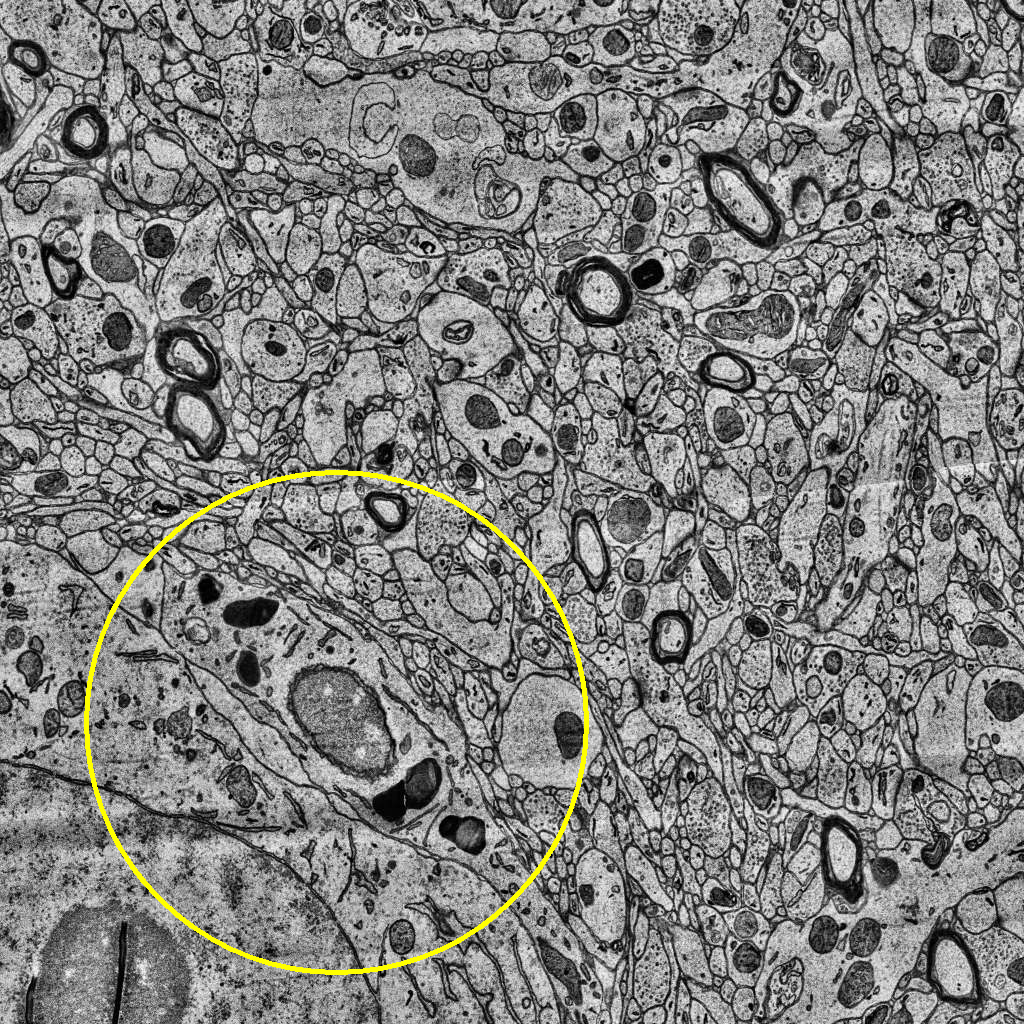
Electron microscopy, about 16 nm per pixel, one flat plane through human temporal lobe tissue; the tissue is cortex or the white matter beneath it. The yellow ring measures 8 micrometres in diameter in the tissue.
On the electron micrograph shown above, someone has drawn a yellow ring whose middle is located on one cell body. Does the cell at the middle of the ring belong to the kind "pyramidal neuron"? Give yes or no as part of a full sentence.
No, the cell located at the middle of the ring in the micrograph is of a different kind.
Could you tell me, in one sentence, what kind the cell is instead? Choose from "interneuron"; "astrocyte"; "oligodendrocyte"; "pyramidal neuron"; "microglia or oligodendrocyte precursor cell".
Instead, the ring surrounds a microglial cell or oligodendrocyte precursor cell in this picture.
